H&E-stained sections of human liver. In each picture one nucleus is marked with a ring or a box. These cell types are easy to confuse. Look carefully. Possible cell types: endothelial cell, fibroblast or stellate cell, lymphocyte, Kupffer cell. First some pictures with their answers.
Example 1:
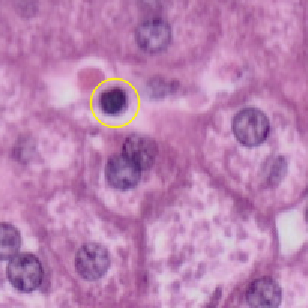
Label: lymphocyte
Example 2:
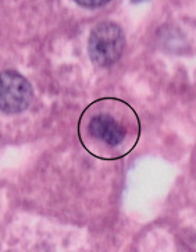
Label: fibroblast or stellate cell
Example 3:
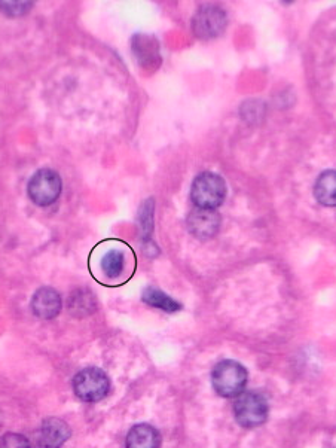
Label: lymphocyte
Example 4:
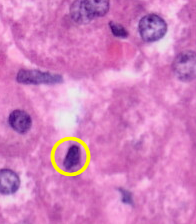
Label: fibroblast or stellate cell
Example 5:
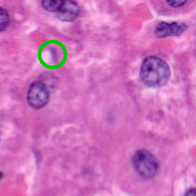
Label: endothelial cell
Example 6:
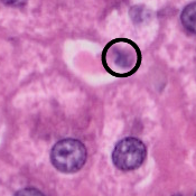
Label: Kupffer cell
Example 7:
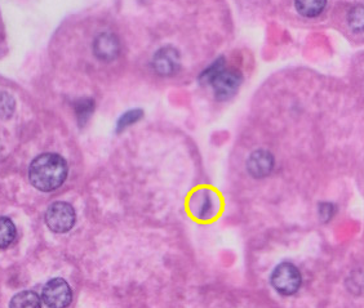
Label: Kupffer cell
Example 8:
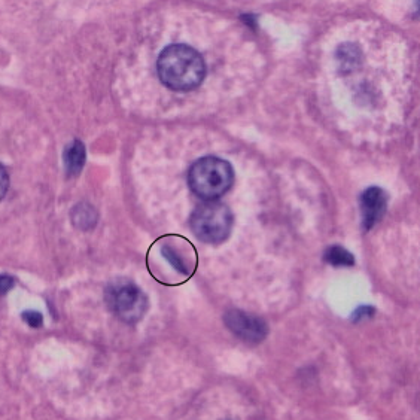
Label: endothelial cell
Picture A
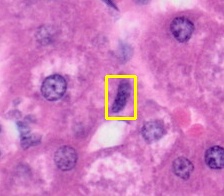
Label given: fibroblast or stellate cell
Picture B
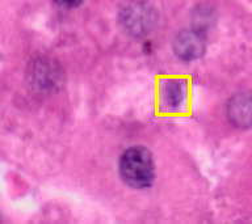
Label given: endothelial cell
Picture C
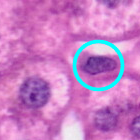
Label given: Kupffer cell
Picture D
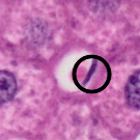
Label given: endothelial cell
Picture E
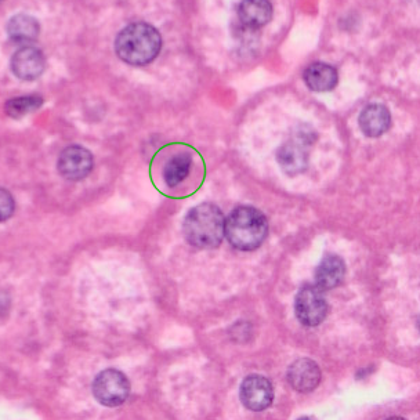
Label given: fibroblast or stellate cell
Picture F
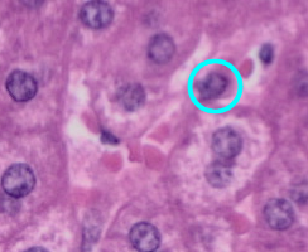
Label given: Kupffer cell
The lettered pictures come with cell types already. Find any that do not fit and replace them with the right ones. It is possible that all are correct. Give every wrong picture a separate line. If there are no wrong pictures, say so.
Nothing to fix; every label fits.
